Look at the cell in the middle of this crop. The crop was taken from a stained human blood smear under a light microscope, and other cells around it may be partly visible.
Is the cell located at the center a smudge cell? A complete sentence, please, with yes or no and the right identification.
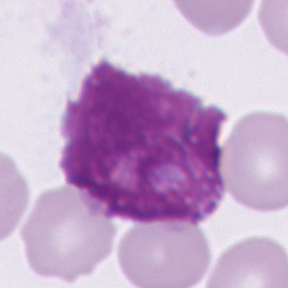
Yes, the cell at the crop's center is a smudge cell.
